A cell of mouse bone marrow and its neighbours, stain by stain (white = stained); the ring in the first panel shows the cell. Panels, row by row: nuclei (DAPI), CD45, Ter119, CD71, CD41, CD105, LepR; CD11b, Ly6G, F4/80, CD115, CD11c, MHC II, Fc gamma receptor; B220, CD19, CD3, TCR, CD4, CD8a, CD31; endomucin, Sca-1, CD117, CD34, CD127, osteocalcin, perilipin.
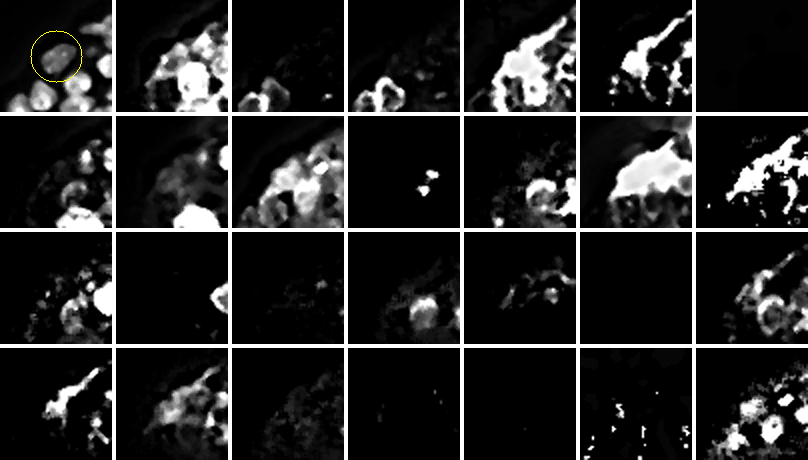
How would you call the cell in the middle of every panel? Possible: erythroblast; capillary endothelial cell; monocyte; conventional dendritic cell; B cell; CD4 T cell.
I would call it a capillary endothelial cell.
